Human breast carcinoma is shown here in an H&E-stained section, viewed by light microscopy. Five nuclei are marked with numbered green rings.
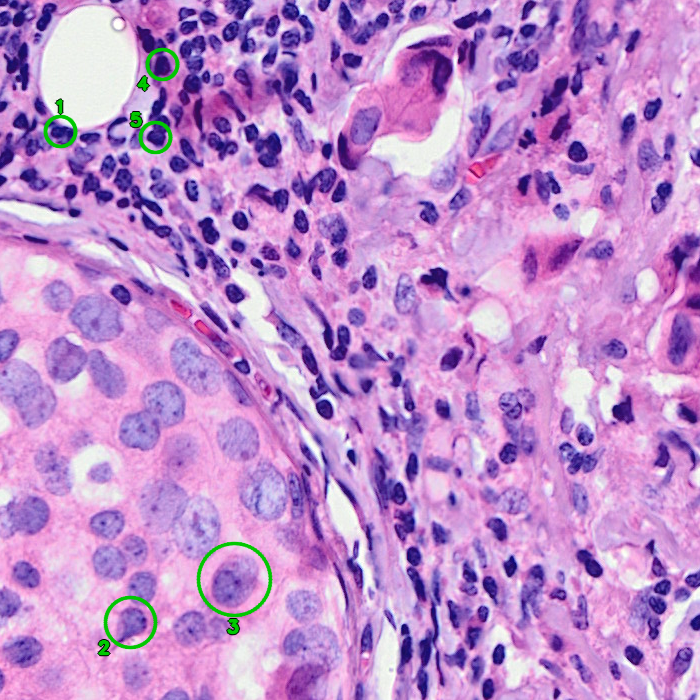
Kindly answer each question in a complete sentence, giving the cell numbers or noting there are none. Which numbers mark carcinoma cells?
The cells with labels 2 and 3 are carcinoma cells.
